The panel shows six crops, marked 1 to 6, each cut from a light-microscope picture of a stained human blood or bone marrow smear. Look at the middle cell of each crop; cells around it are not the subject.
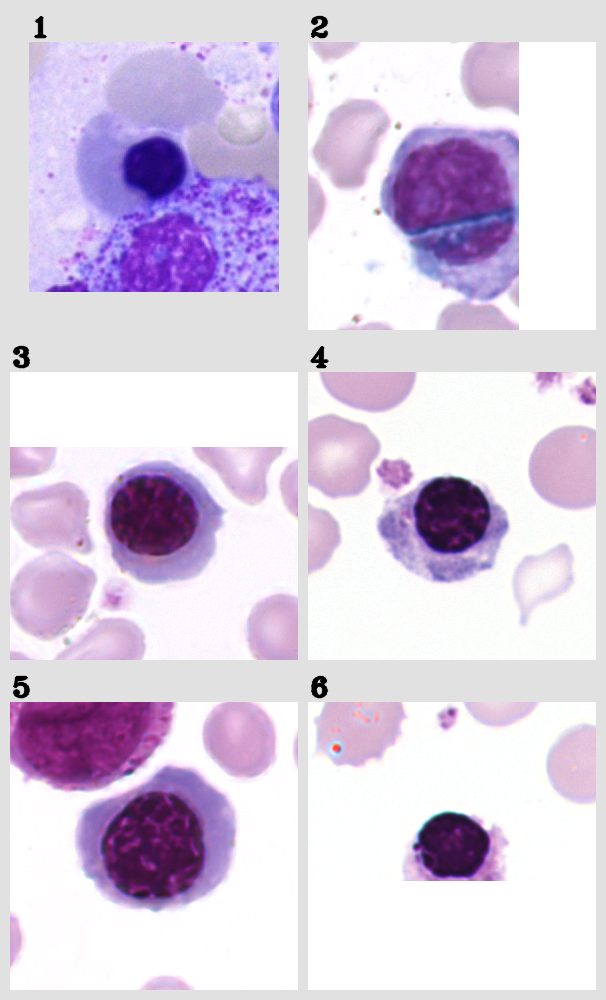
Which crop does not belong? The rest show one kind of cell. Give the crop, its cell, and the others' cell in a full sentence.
Crop 2 breaks the pattern as a plasma cell; the other crops all contain normoblasts.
